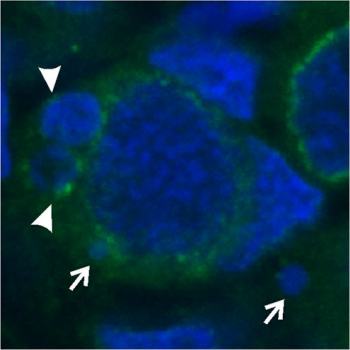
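The main nucleus is round and large, with finely granular blue chromatin, and it is ringed by a dotted, beaded green rim. To its left lie small round blue bodies of different sizes, separate from the main nucleus. One of them carries patches of green at its edge, while the smallest blue bodies below show little or no green around them.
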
